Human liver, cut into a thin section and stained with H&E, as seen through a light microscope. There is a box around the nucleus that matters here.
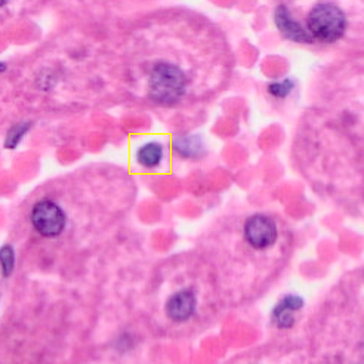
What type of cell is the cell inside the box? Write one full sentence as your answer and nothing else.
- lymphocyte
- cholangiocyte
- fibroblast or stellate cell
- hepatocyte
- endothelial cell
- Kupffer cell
In the tissue at hand, the cell inside the box is a lymphocyte.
